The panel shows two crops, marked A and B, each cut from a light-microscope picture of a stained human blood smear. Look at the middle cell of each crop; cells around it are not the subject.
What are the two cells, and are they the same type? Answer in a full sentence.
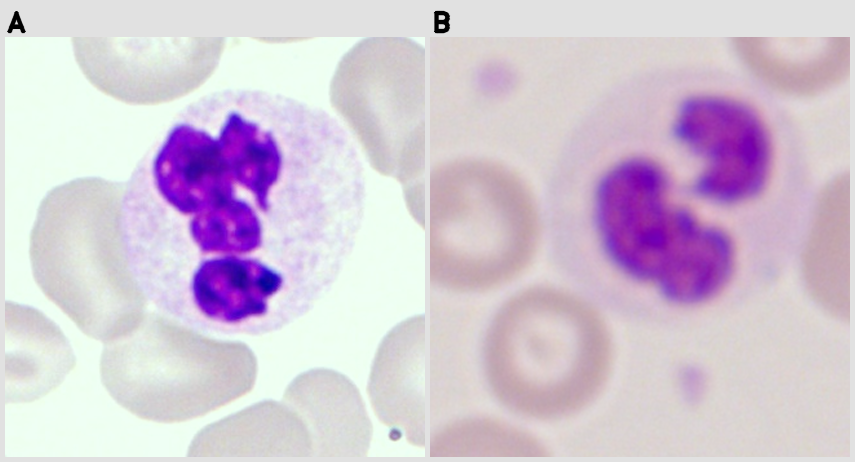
Yes, both crops here show segmented neutrophils, the pair of them.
